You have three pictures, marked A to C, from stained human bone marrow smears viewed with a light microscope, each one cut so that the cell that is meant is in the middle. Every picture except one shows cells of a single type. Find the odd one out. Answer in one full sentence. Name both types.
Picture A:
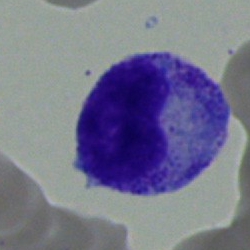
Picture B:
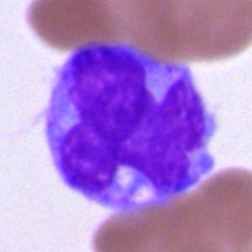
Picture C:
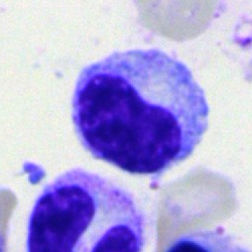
Picture B differs, because its cell is a monocyte and the rest are metamyelocytes.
